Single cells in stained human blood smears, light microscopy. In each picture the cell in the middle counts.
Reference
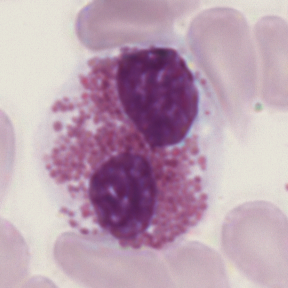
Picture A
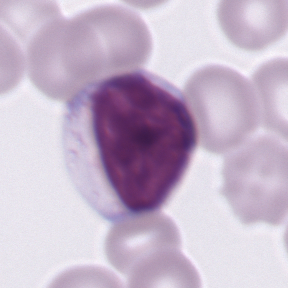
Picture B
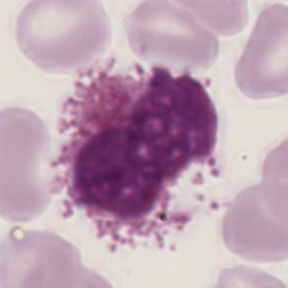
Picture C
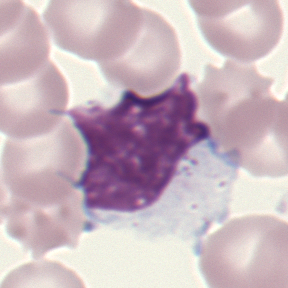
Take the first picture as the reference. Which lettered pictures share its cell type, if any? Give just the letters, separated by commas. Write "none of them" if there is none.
B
